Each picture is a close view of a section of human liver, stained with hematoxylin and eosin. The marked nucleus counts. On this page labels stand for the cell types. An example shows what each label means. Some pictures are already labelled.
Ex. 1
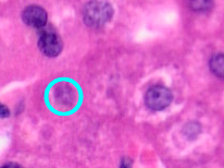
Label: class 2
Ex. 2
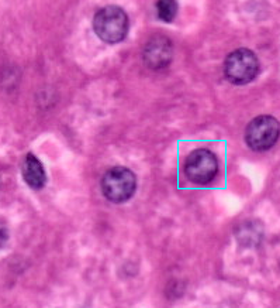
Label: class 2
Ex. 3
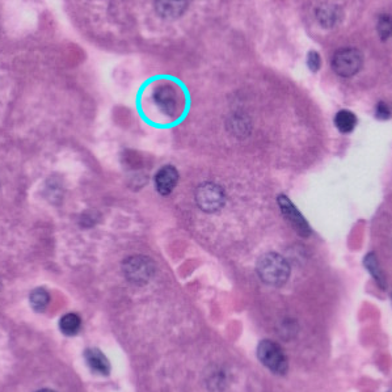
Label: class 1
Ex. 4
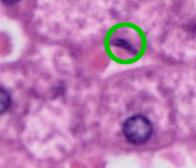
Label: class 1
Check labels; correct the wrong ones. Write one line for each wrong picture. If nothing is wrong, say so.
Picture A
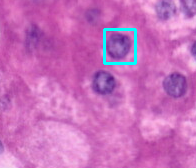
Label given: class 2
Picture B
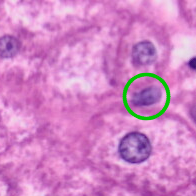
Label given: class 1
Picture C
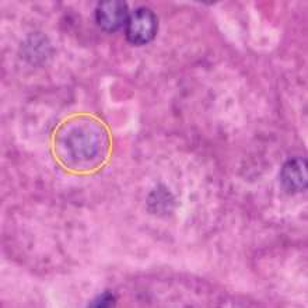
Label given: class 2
Nothing to fix; every label fits.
